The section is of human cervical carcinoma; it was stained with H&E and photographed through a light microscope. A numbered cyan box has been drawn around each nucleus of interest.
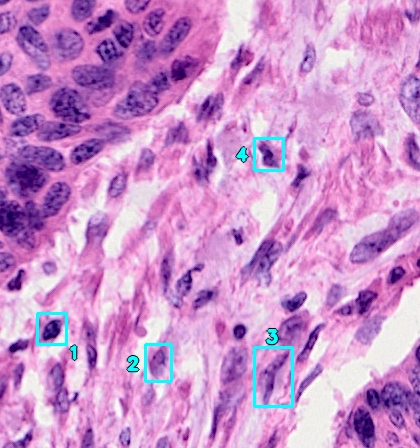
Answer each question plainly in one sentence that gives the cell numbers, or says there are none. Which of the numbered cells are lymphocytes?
The cell labelled 1 is a lymphocyte, while the remaining numbered cells are not.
